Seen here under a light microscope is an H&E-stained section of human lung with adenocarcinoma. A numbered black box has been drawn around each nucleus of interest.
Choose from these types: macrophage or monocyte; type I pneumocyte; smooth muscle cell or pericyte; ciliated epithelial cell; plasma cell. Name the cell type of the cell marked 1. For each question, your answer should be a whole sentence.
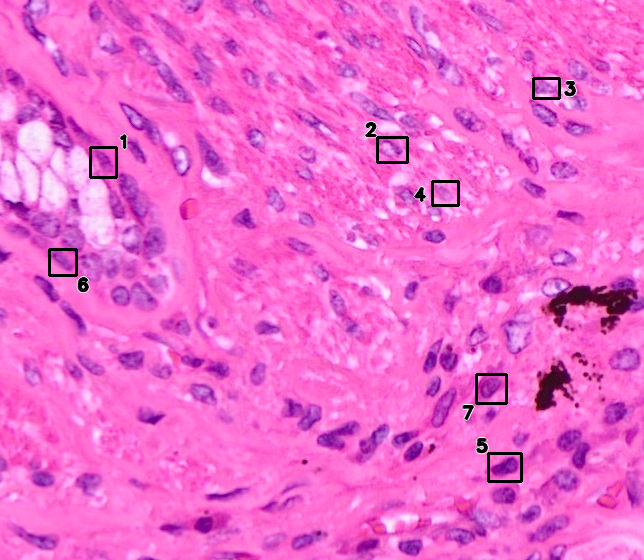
The cell carrying label 1 is identified as a ciliated epithelial cell.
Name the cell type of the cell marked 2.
Cell 2 in the field is a smooth muscle cell or pericyte.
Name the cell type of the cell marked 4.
The marked nucleus 4 is that of a smooth muscle cell or pericyte.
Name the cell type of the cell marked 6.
In the marked set, the cell given number 6 is a ciliated epithelial cell.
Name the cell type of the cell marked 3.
The cell marked with the number 3 is a smooth muscle cell or pericyte.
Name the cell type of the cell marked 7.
To a plasma cell belongs the nucleus marked 7.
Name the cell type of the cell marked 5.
The expected answer is that cell 5 is a plasma cell.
